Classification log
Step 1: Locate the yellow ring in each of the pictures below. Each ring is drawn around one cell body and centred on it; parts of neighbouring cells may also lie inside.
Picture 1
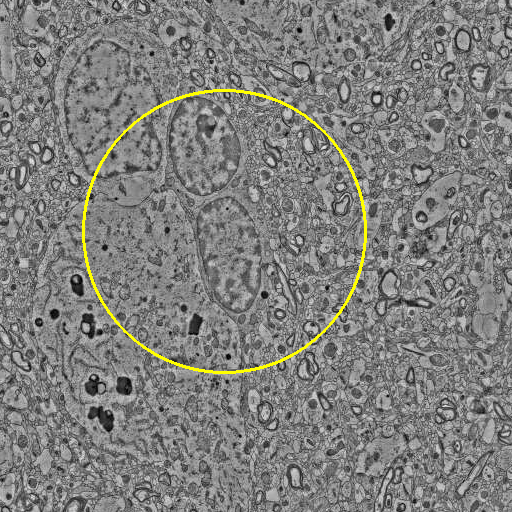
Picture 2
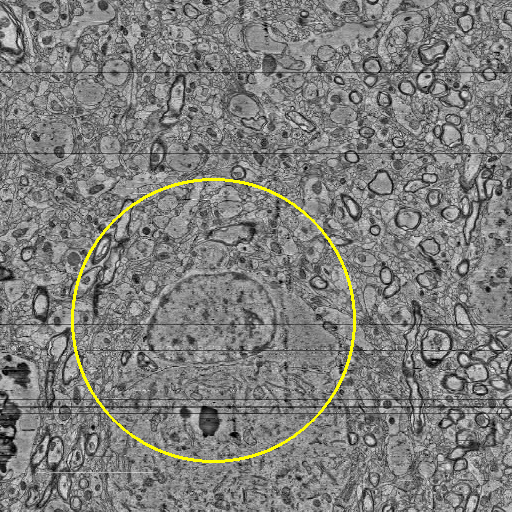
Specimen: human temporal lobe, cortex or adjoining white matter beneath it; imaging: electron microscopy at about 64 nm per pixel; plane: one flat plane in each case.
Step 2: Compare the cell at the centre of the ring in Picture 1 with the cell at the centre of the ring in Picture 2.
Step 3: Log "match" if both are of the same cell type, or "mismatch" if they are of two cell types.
mismatch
